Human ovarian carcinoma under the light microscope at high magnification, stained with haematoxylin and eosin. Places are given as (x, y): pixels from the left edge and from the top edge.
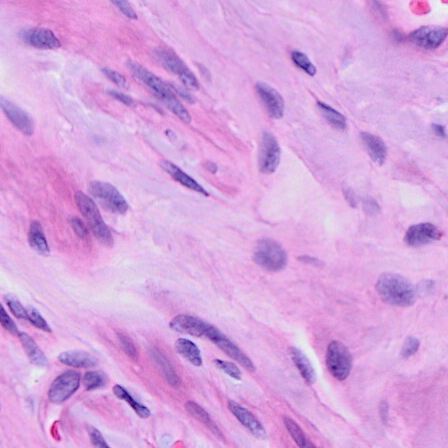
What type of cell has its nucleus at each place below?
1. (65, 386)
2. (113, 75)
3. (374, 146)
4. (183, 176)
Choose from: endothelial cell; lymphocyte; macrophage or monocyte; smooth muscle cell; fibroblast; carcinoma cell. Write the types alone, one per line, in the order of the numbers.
endothelial cell
smooth muscle cell
fibroblast
smooth muscle cell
